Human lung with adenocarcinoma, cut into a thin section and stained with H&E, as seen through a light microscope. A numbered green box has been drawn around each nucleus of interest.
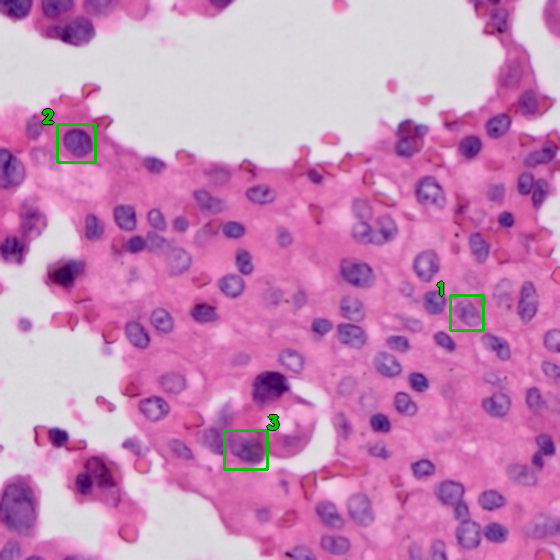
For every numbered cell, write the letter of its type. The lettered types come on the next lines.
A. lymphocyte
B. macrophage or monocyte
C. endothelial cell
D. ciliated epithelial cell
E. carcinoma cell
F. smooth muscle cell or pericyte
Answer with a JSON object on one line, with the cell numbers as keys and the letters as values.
{"1": "B", "2": "B", "3": "E"}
